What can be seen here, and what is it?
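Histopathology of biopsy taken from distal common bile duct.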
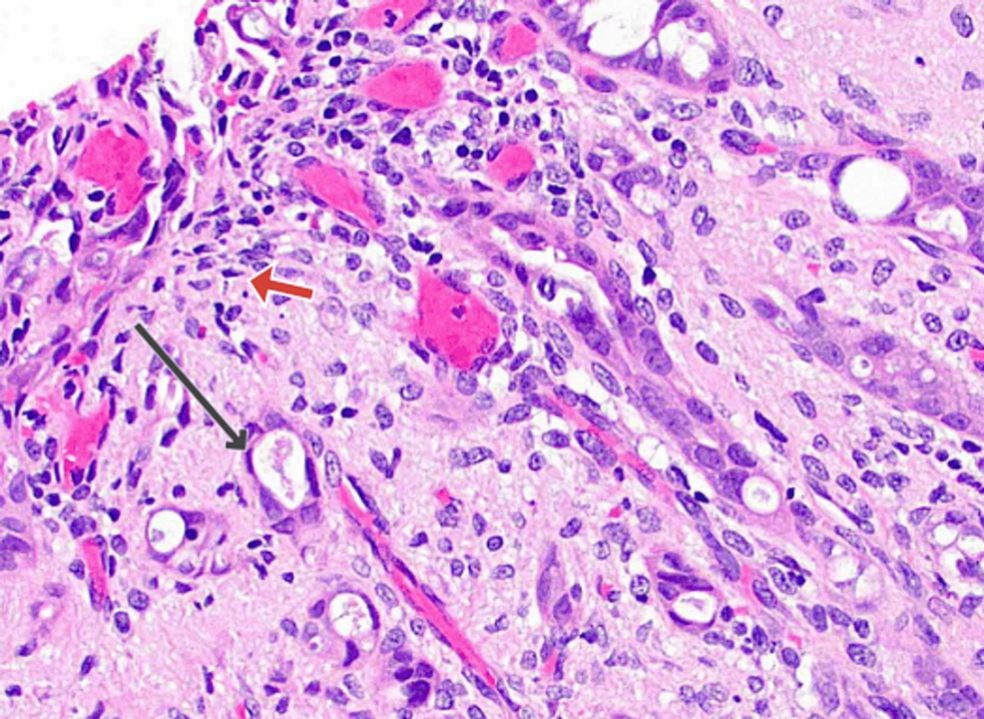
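The tumour cells have enlarged, oval to irregular purple nuclei and surround small round lumens, some holding pale material, while clusters of small dark inflammatory cells lie near the upper left. Bright pink, dense strands and blocks are scattered between the cell groups.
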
